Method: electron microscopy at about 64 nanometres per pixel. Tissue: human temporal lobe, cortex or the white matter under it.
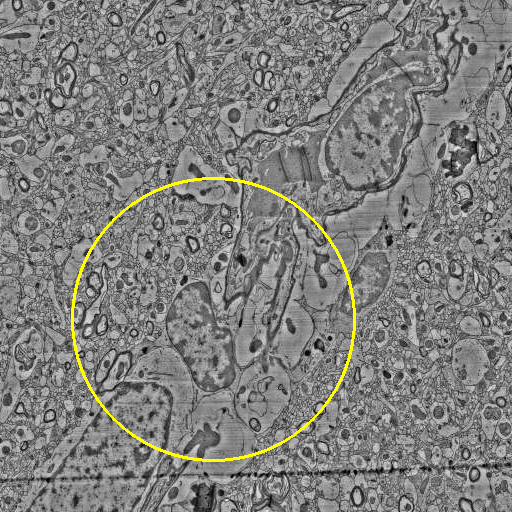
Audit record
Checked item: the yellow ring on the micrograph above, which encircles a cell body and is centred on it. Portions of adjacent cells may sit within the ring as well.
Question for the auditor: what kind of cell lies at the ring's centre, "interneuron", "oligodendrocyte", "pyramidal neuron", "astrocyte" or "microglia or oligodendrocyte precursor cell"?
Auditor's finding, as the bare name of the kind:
microglia or oligodendrocyte precursor cell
